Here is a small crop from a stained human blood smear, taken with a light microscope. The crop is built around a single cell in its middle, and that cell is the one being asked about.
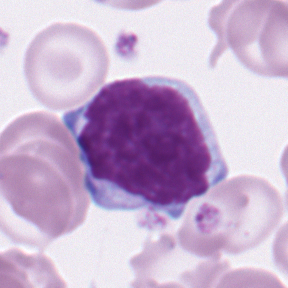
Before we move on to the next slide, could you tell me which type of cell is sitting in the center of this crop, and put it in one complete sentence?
The cell in the middle of this crop is a typical lymphocyte.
